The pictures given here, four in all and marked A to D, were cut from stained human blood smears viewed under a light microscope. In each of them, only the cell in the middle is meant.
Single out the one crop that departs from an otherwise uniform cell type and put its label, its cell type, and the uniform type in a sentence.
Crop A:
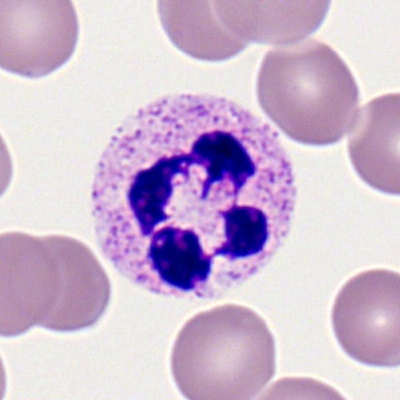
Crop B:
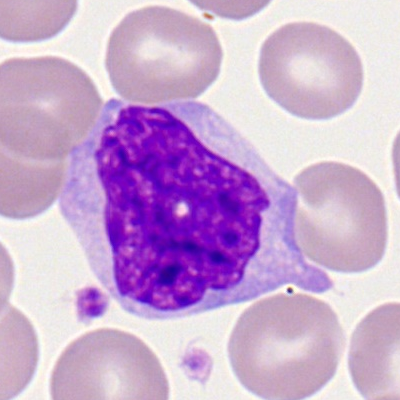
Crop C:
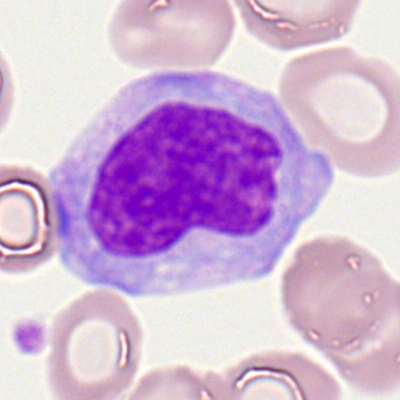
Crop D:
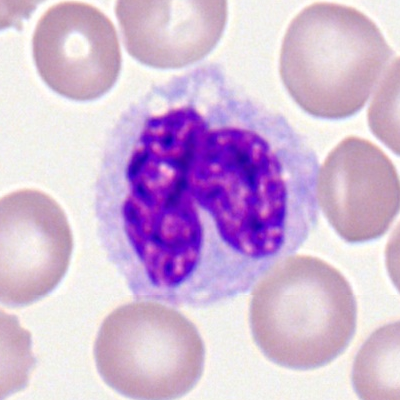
Unlike the other crops, which all show monocytes, crop A is a segmented neutrophil.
